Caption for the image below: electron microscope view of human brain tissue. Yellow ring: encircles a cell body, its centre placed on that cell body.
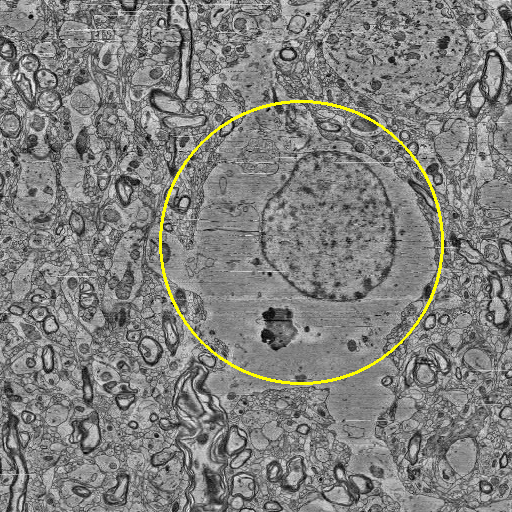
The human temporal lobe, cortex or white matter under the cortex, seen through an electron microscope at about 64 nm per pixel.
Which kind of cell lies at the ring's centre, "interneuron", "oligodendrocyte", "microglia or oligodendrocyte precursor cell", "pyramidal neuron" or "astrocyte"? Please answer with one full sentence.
The picture shows an astrocyte at the centre of the yellow ring.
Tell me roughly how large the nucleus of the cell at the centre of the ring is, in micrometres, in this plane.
The nucleus is approximately 10 micrometers long by 9 micrometers wide in this plane.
